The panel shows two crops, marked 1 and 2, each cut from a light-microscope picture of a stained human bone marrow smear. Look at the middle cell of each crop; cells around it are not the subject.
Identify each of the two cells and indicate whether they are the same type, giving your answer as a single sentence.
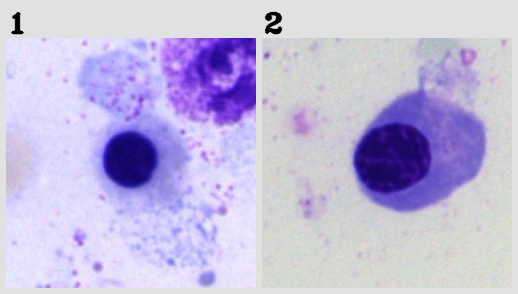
Yes, both the first crop and the second crop show normoblasts.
